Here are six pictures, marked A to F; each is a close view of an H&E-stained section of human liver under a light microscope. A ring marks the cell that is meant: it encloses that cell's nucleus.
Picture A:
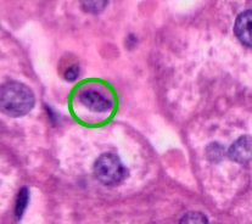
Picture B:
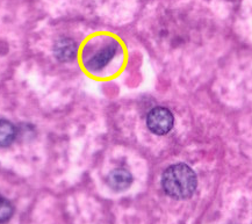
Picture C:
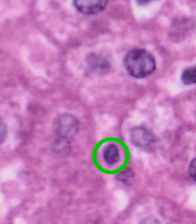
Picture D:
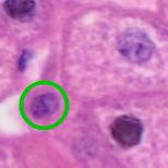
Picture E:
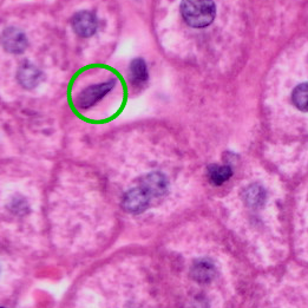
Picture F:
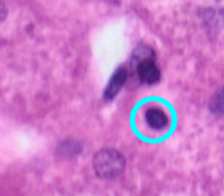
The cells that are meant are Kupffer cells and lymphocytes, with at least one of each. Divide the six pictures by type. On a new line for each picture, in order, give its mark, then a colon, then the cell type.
A: Kupffer cell
B: Kupffer cell
C: lymphocyte
D: Kupffer cell
E: Kupffer cell
F: lymphocyte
